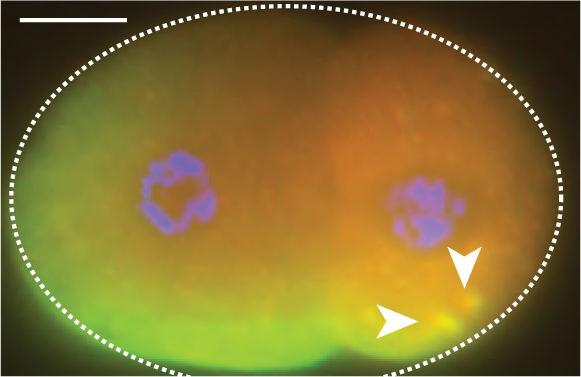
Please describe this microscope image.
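An early embryo at the two-cell stage, seen as an oval outlined by a dashed line. Each of the two cells holds a blue, ring-like cluster of condensed chromatin near its centre. The cytoplasm of both cells is filled with diffuse green and orange fluorescence; the right-hand, posterior cell looks more orange, while a band of stronger green lies along the lower edge. At the posterior edge of the right-hand cell lie a few small, bright yellowish puncta, where the two colours overlap; these are the germ granules of the germ cell lineage, indicated by the arrowheads.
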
